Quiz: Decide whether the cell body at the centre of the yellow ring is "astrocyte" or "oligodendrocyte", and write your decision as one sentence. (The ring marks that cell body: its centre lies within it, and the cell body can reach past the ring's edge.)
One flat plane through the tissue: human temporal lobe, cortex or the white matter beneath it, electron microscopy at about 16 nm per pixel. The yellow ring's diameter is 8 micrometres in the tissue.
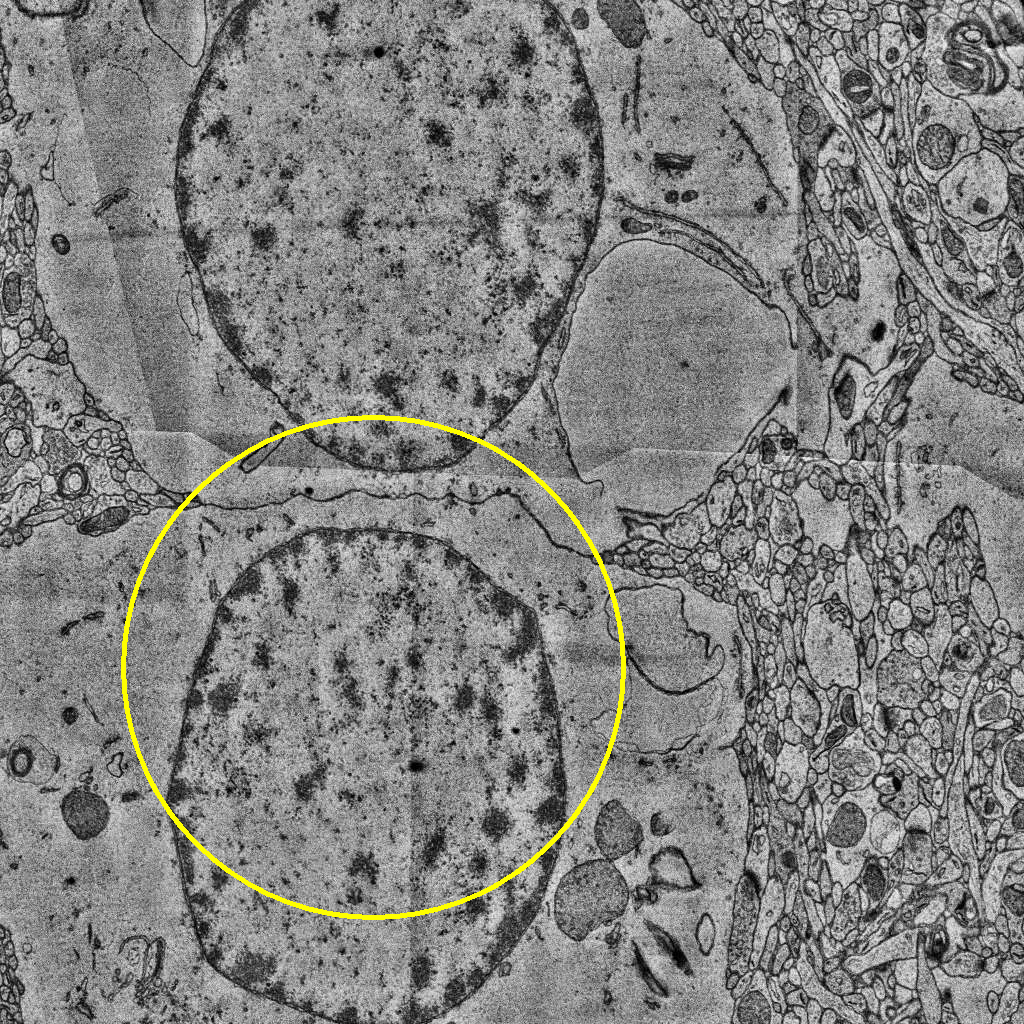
The cell holding the ring's centre is an astrocyte.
